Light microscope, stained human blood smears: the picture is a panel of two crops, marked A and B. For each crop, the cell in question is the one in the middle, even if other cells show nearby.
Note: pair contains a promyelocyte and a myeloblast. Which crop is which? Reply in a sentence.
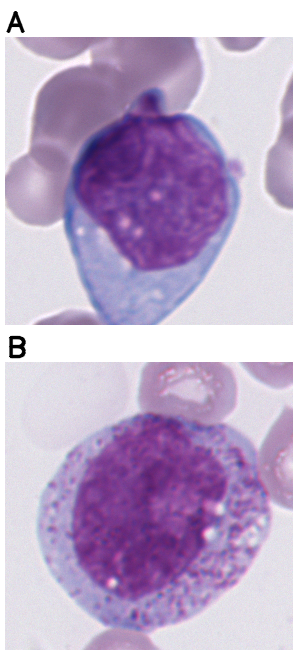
The cell centred in crop A is a myeloblast, and the one centred in crop B is a promyelocyte.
